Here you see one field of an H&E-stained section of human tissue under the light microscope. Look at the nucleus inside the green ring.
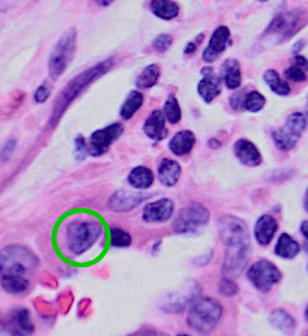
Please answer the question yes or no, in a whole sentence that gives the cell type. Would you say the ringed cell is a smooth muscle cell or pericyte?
No, the identity of the ringed cell is an endothelial cell, not a smooth muscle cell or pericyte.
